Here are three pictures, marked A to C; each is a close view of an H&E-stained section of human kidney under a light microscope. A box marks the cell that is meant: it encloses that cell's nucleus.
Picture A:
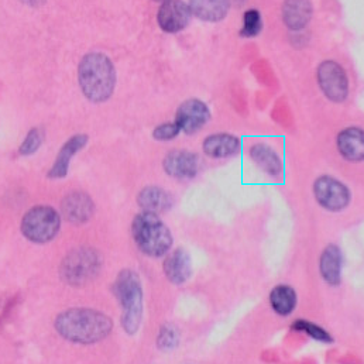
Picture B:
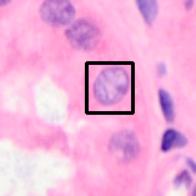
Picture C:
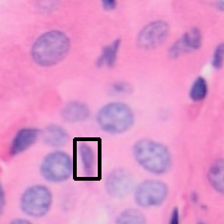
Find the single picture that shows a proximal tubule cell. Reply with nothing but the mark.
B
